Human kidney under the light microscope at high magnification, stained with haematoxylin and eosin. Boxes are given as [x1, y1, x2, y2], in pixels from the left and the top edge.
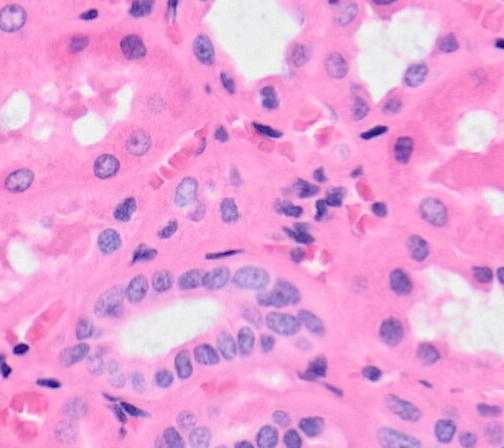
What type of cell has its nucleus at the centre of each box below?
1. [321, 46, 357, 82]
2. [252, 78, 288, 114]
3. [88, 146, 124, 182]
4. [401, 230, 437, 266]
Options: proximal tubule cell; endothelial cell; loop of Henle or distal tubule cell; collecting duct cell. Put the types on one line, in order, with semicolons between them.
loop of Henle or distal tubule cell; loop of Henle or distal tubule cell; proximal tubule cell; loop of Henle or distal tubule cell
